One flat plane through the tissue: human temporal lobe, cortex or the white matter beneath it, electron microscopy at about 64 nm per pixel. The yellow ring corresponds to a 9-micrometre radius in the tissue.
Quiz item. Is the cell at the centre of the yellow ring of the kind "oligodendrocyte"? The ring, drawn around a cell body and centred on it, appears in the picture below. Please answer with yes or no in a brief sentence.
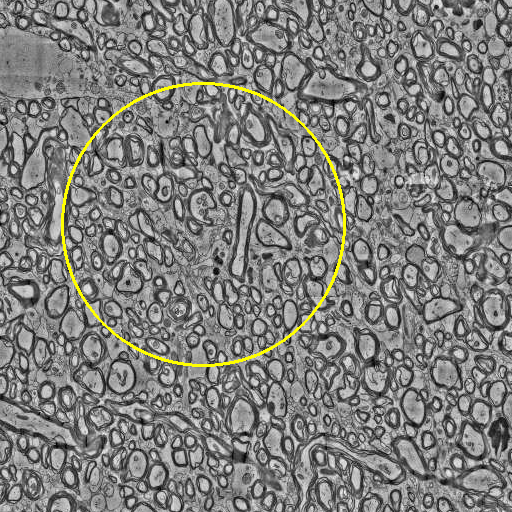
Yes, it is that kind of cell.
